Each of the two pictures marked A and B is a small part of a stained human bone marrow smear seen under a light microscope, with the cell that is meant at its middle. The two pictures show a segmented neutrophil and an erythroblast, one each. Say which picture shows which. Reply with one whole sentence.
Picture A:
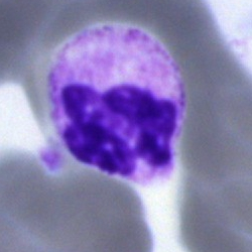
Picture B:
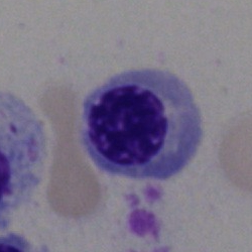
It is picture A that shows a segmented neutrophil, and picture B that shows an erythroblast.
